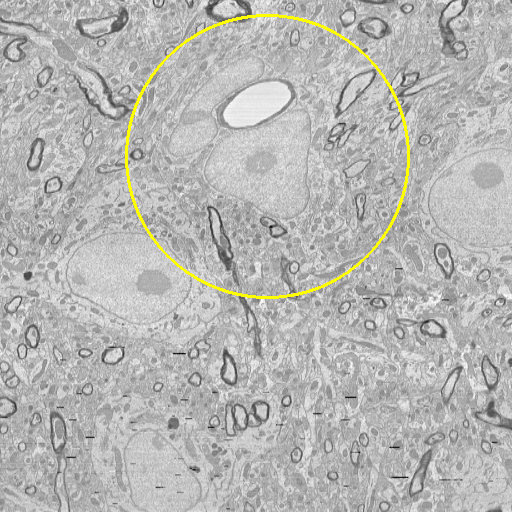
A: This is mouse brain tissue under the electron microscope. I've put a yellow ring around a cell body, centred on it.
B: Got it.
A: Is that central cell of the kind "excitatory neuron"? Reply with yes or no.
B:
no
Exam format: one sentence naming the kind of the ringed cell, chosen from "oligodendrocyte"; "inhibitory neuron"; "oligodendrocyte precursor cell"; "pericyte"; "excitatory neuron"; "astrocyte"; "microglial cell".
Instead, the cell at the centre of the ring is an astrocyte.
